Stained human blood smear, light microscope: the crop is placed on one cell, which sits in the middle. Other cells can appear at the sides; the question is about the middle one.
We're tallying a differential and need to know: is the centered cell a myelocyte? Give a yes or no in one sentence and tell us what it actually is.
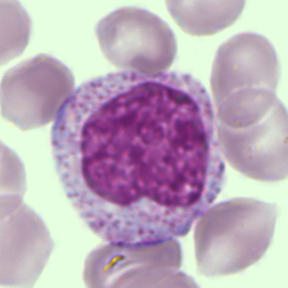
Yes, the cell lying in the middle is a myelocyte.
